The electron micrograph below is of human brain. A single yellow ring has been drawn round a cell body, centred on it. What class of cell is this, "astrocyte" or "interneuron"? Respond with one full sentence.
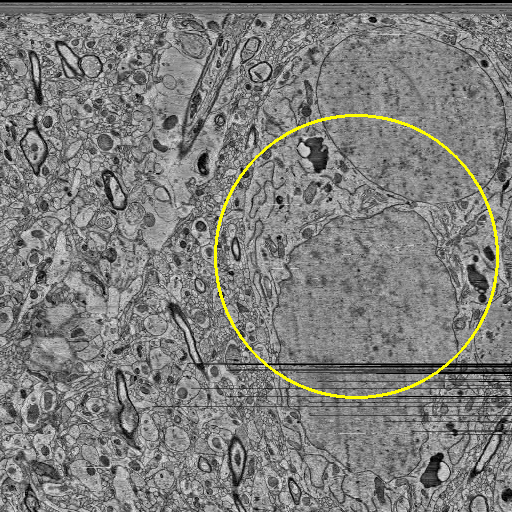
In the micrograph, the cell centred inside the yellow ring is an interneuron.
